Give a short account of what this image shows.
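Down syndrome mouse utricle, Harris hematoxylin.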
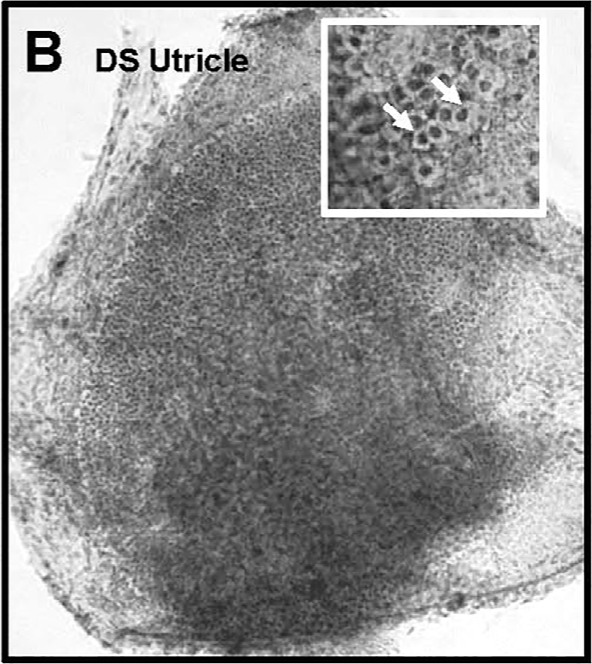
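The packed sensory area is darkest centrally and thins toward the paler edge of the organ. In the enlarged view the hair cells appear as dark round profiles, each ringed by a pale translucent chalice.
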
